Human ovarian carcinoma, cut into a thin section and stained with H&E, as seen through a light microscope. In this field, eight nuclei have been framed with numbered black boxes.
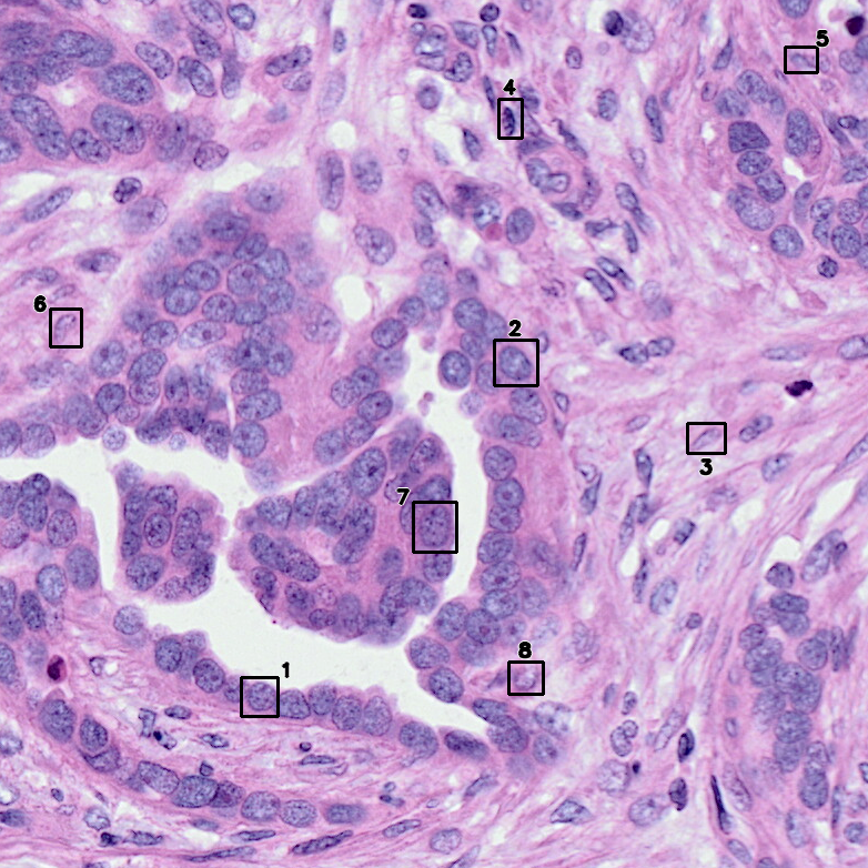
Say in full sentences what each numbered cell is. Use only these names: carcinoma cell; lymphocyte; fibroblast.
Cells 1, 2 and 7 are carcinoma cells. Cells 3, 5, 6 and 8 are fibroblasts. Cell 4 is a lymphocyte.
